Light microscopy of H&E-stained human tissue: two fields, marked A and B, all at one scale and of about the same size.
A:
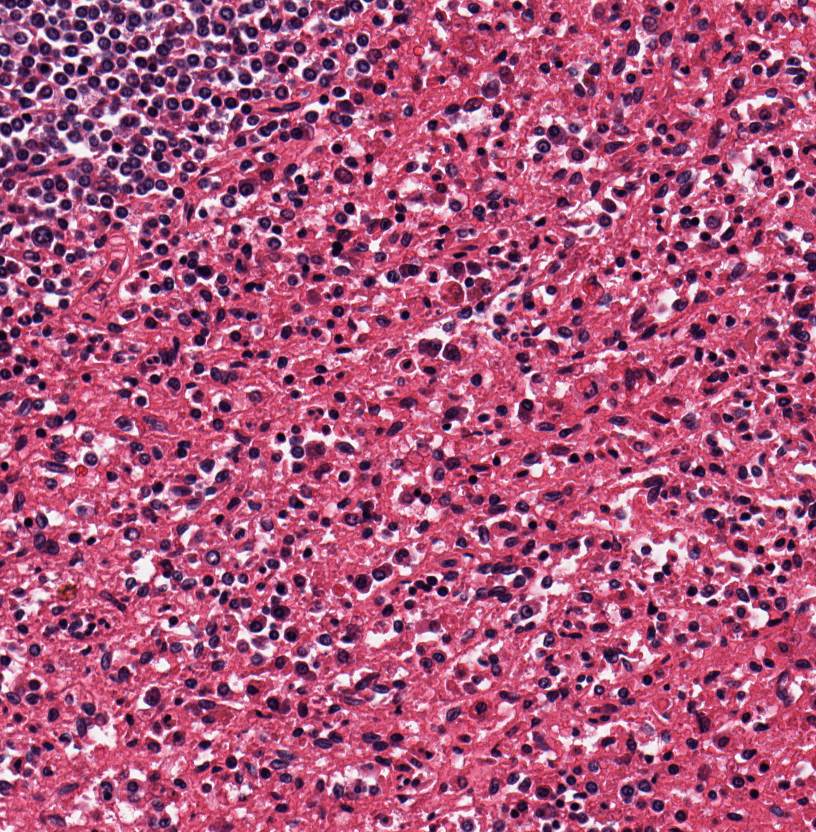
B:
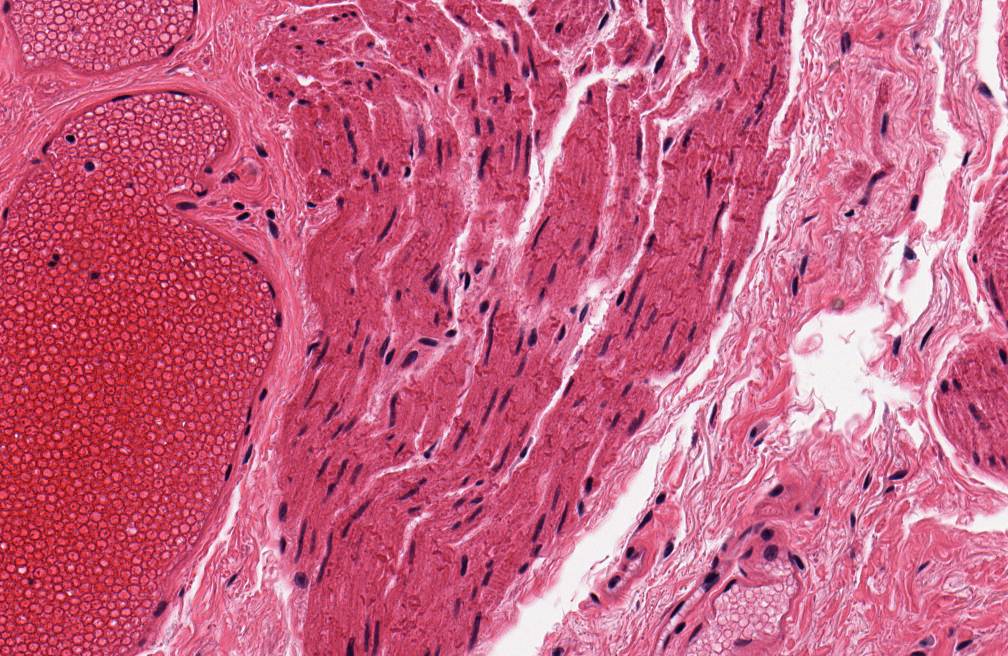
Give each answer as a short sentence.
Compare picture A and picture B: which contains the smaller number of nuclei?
Picture B holds fewer nuclei than picture A.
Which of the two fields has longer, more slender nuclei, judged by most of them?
The nuclei are more elongated in picture B.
